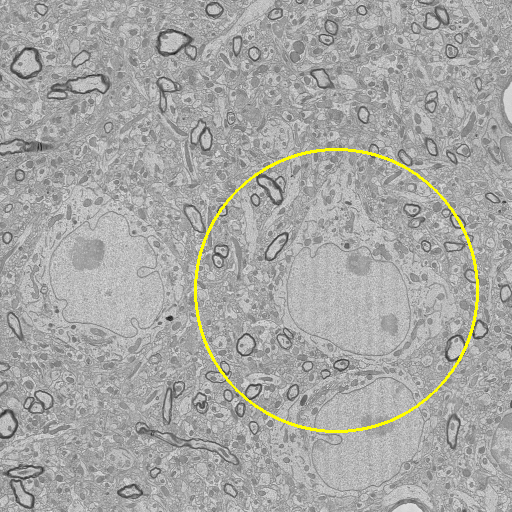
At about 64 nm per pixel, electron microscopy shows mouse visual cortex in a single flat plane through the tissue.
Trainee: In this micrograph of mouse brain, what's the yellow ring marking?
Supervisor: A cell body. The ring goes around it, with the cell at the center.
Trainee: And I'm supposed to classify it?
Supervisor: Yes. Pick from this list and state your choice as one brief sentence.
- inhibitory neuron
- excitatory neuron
The cell at the ring's center is an excitatory neuron.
